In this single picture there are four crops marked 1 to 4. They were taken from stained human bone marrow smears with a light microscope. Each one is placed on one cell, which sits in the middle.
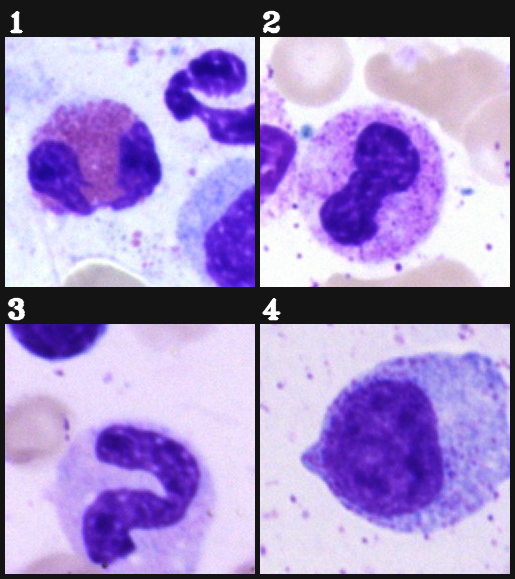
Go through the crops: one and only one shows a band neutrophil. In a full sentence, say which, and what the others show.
The crop labelled 2 shows a band neutrophil, whereas crop 1 is an eosinophil, crop 3 is a segmented neutrophil and crop 4 is a promyelocyte.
